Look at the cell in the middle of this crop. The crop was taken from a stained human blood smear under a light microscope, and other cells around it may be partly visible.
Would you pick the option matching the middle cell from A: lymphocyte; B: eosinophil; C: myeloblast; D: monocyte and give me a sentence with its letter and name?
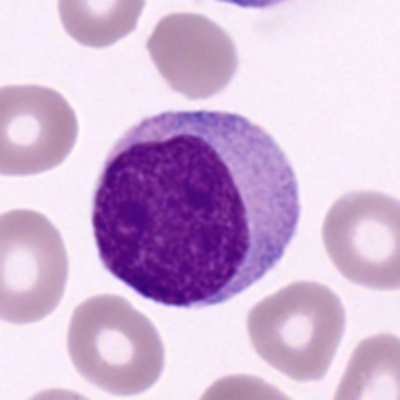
For this crop, option C is right, the centered cell being a myeloblast.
